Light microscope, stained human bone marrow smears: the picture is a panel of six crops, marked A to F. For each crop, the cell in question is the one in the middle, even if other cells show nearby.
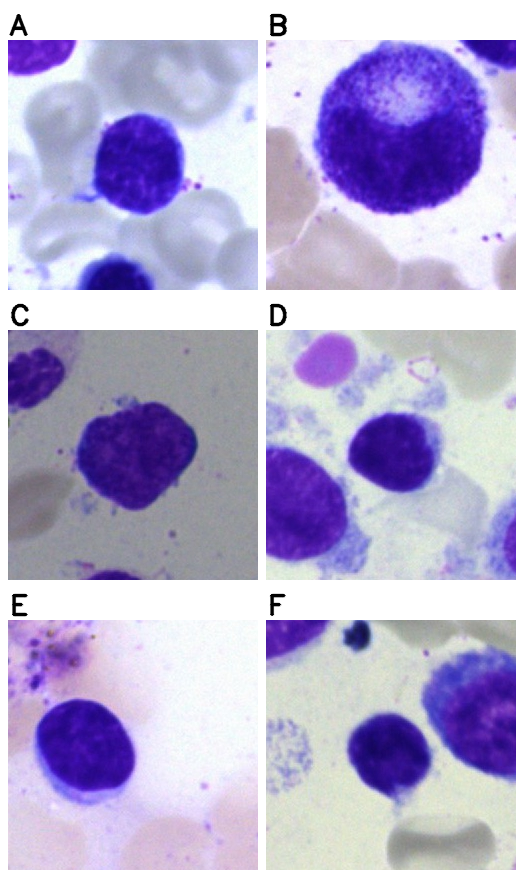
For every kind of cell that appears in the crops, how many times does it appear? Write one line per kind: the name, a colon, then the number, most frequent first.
lymphocyte: 5
promyelocyte: 1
